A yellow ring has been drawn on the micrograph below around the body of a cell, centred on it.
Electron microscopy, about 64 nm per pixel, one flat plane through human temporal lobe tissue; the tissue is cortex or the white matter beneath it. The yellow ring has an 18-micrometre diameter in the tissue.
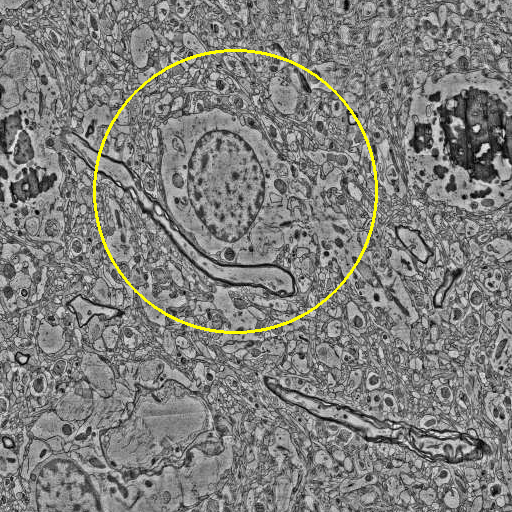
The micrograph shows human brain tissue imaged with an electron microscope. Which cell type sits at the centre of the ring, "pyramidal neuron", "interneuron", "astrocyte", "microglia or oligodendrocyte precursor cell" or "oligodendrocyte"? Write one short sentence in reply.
The cell sitting at the centre of the ring is an astrocyte.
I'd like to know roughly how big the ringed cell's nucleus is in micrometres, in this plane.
Approximately 7 x 5 micrometres in this plane.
